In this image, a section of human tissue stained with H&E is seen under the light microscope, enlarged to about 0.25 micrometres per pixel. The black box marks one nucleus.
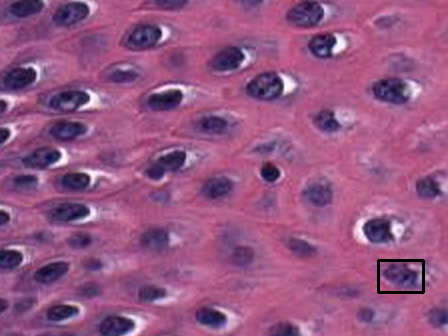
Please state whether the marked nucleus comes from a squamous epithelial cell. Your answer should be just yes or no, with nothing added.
yes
